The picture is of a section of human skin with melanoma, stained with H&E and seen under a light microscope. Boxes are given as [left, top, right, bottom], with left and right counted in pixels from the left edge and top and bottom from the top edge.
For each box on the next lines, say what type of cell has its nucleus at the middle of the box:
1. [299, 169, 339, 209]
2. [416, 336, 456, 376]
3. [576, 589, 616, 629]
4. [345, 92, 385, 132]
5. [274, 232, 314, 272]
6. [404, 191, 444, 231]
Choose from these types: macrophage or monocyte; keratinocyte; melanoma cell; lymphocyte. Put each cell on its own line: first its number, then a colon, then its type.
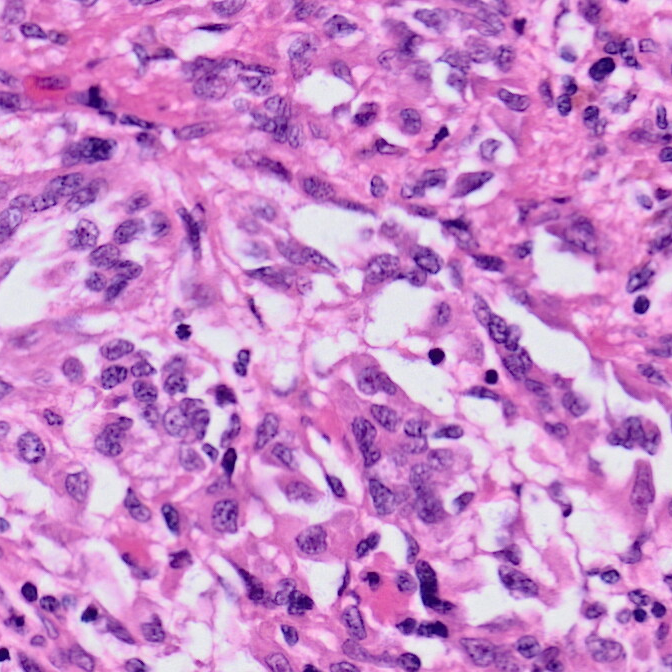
1: melanoma cell
2: lymphocyte
3: macrophage or monocyte
4: melanoma cell
5: melanoma cell
6: melanoma cell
